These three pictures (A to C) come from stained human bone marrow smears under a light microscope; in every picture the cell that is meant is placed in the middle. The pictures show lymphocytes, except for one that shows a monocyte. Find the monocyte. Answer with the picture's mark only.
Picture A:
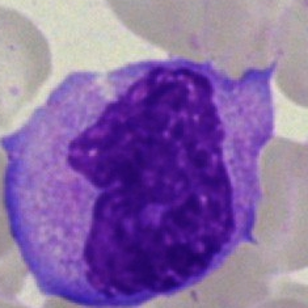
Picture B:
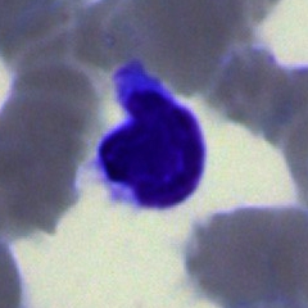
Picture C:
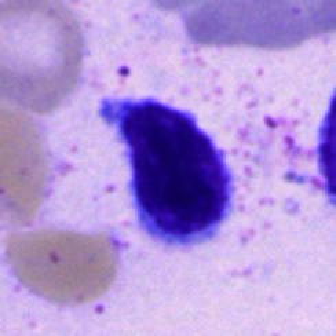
A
